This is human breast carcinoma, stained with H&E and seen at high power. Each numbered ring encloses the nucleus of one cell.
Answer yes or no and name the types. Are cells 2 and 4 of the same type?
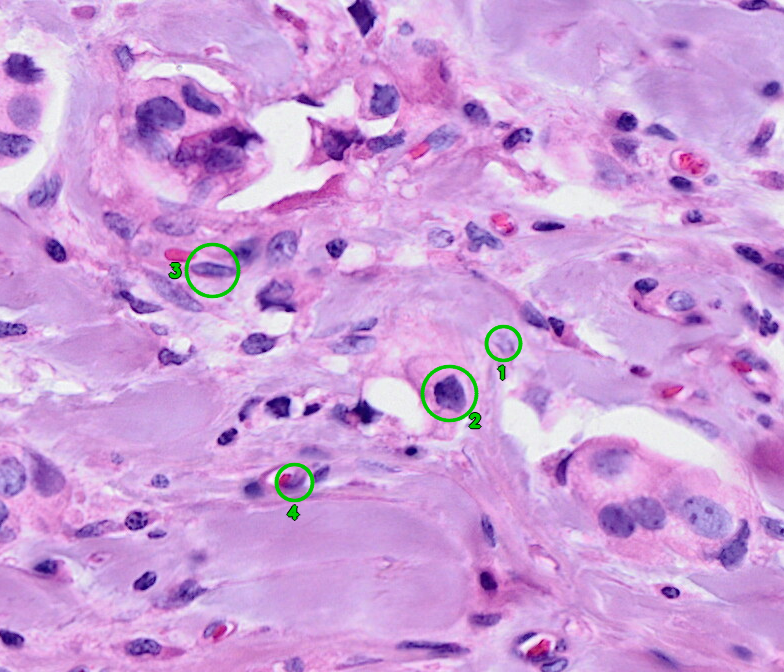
No, in contrast to cell 4, which is an endothelial cell, cell 2 is a carcinoma cell.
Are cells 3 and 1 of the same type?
No, cell 3 is an endothelial cell; cell 1 is a fibroblast.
